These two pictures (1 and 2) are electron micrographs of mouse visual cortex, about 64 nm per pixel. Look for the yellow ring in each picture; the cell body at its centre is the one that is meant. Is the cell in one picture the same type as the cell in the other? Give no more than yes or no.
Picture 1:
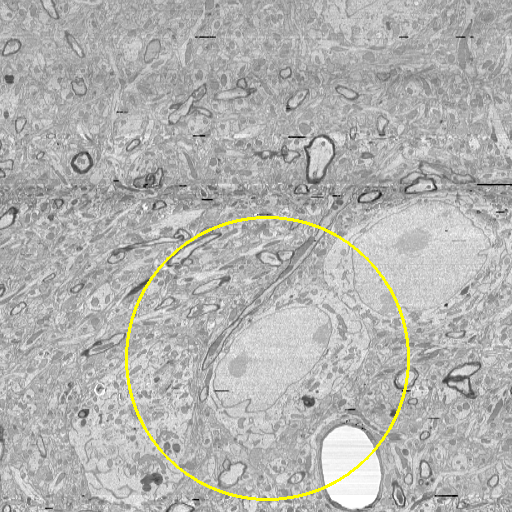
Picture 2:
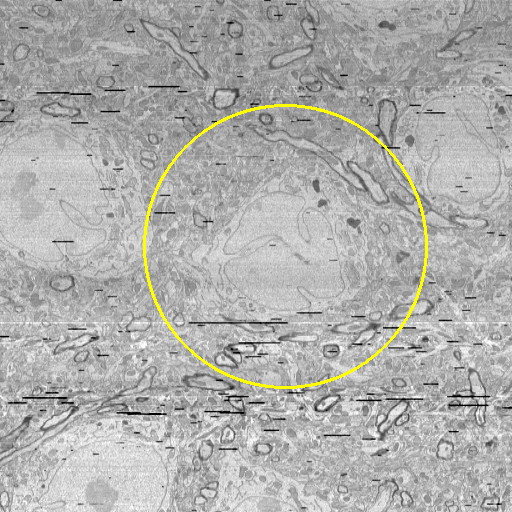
yes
